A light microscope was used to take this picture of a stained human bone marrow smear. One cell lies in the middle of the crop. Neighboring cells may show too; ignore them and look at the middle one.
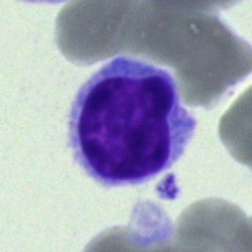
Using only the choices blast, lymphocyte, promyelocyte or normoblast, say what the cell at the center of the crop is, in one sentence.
Where the crop is centred, there is a lymphocyte.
